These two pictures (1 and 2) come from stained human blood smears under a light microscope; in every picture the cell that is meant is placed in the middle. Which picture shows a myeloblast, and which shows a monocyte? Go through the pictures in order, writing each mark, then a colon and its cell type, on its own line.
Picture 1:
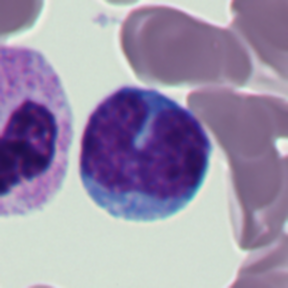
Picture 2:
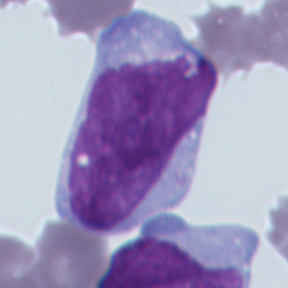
1: monocyte
2: myeloblast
